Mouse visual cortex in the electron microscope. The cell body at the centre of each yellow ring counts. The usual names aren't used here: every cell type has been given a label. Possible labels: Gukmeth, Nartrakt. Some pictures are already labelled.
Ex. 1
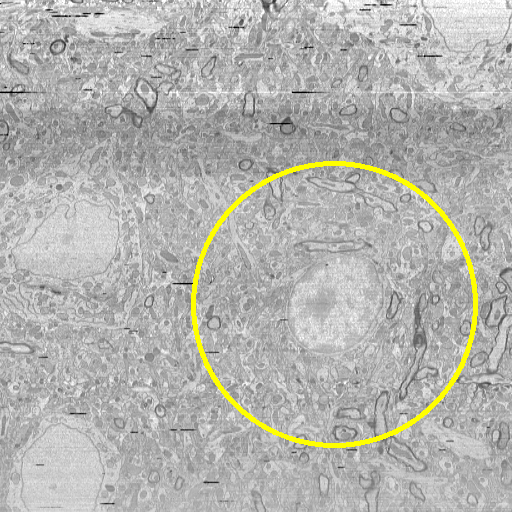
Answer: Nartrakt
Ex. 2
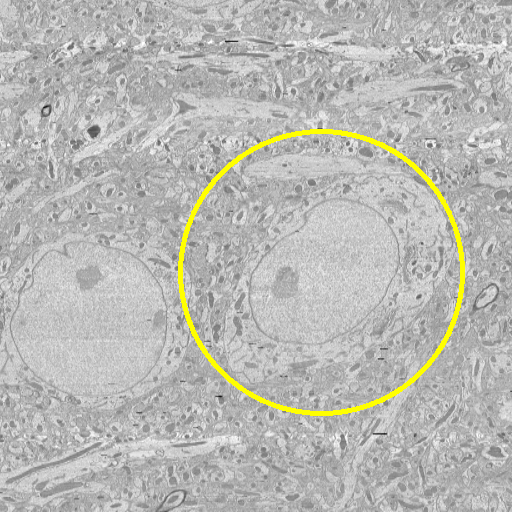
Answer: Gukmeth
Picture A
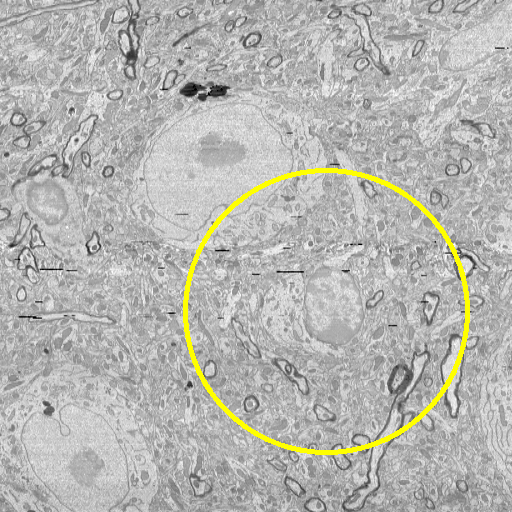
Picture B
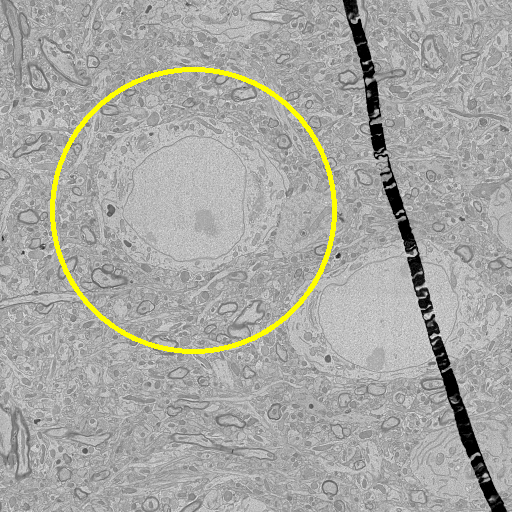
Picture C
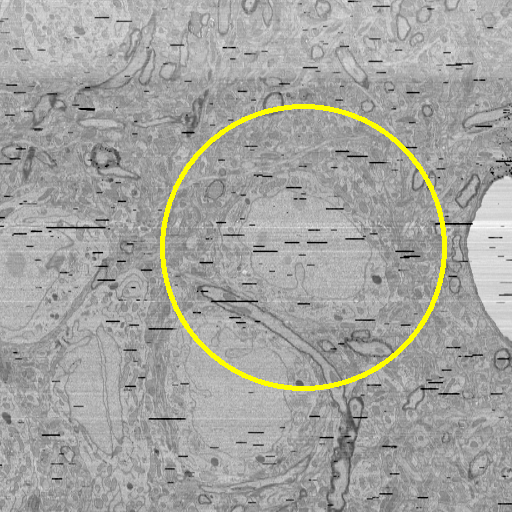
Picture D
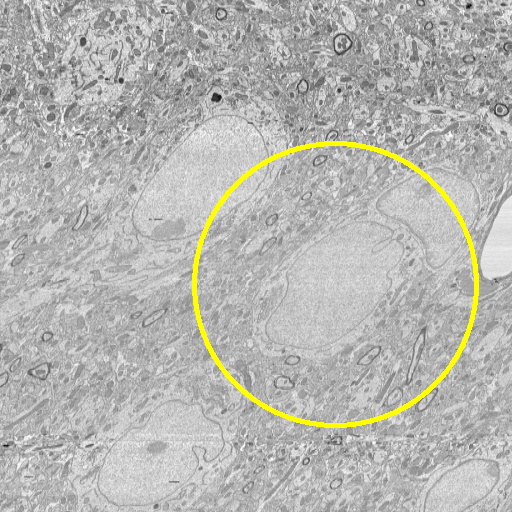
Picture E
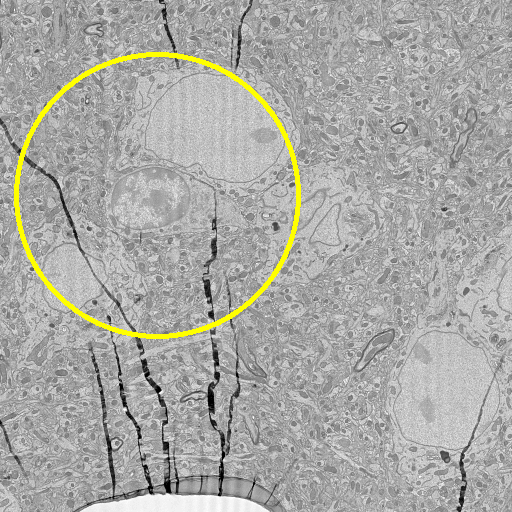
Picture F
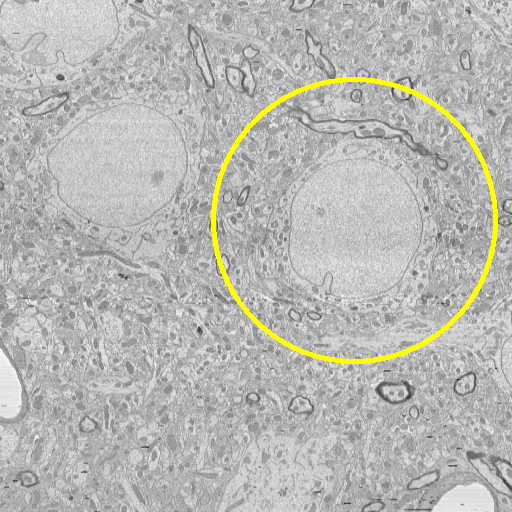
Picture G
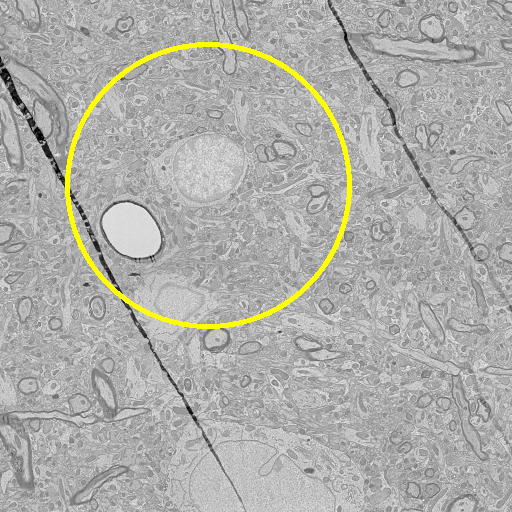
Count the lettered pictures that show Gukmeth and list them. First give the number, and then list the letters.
4, namely B, C, D, F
